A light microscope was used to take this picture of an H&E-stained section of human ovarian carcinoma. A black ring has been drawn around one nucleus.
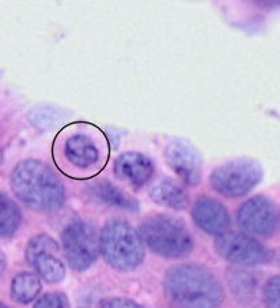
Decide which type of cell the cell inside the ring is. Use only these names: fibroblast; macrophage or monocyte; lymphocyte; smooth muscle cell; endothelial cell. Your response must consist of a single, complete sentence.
Students should answer that the cell inside the ring is a macrophage or monocyte.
